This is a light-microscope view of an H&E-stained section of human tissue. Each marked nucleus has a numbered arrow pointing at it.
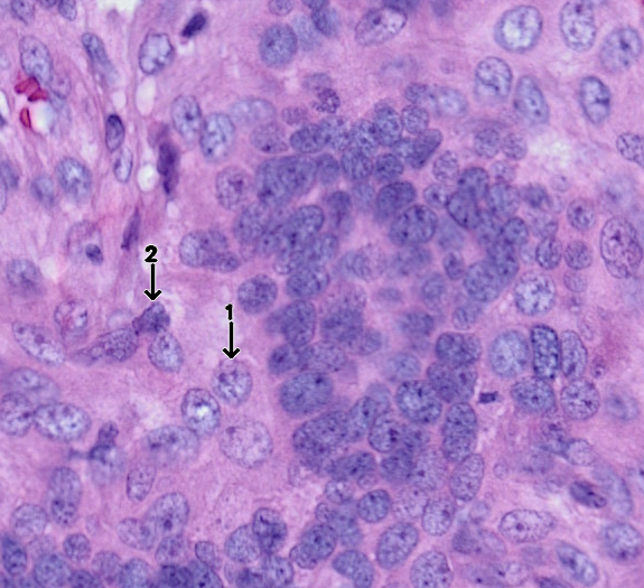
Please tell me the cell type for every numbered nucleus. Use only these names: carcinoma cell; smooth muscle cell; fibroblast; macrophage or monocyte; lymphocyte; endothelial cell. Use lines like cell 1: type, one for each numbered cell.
cell 1: fibroblast
cell 2: macrophage or monocyte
